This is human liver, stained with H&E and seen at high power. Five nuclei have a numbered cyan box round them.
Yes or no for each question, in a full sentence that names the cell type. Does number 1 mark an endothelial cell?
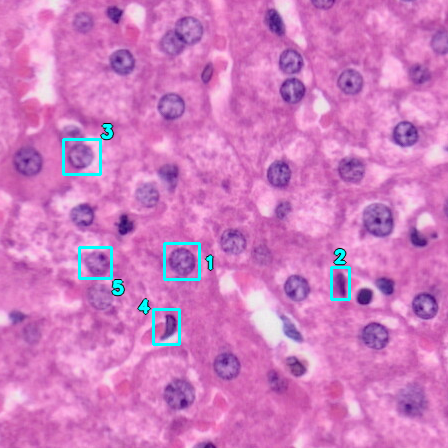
No, number 1 identifies a hepatocyte, not an endothelial cell.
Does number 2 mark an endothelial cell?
Yes, the cell with its nucleus marked 2 is an endothelial cell.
